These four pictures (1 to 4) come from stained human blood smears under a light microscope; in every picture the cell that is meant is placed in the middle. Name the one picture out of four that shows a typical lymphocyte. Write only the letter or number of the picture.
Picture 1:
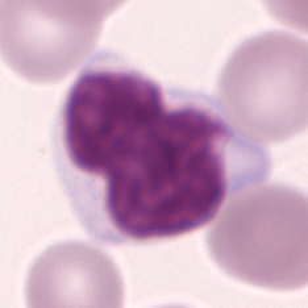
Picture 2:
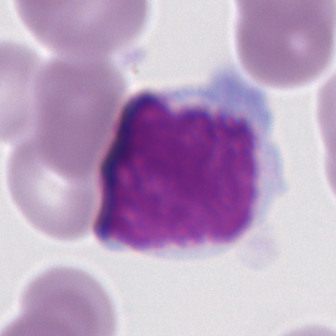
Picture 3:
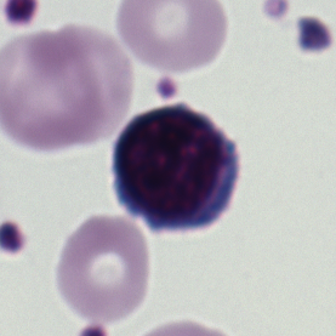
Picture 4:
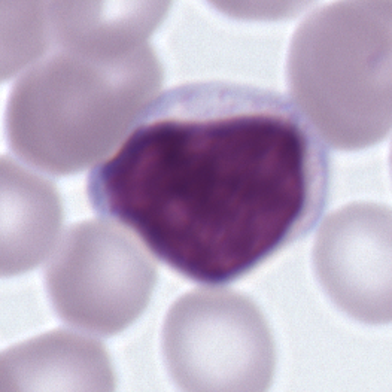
3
